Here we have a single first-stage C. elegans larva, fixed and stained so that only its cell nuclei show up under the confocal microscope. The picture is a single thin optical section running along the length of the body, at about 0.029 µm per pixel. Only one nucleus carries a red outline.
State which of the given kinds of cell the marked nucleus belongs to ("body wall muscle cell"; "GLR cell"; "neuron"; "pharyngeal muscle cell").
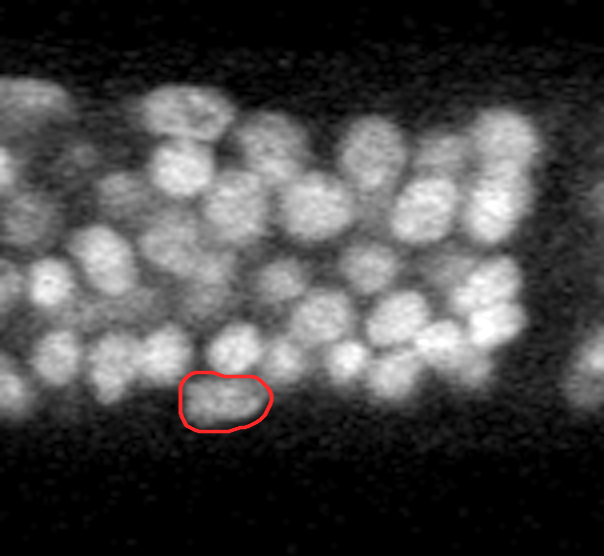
body wall muscle cell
